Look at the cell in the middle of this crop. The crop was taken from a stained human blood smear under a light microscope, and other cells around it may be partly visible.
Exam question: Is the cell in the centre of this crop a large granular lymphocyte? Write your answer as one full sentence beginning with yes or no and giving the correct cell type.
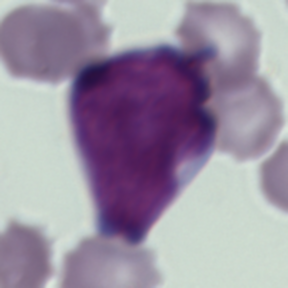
No, the centre cell is not a large granular lymphocyte but a myeloblast.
